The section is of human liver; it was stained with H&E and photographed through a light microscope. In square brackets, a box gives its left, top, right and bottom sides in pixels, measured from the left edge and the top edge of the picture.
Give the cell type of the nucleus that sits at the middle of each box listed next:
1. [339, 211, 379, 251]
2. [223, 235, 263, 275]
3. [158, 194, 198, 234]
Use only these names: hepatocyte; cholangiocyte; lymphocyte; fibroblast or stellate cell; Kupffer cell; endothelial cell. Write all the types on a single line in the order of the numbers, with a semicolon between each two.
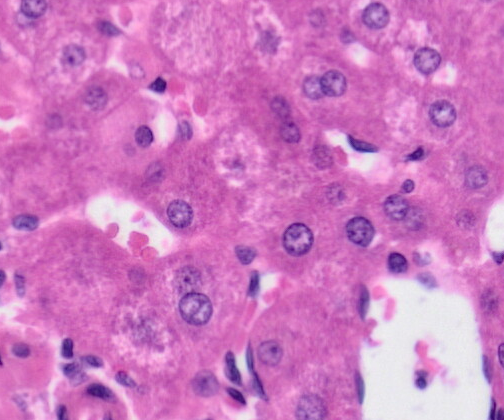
hepatocyte; fibroblast or stellate cell; hepatocyte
